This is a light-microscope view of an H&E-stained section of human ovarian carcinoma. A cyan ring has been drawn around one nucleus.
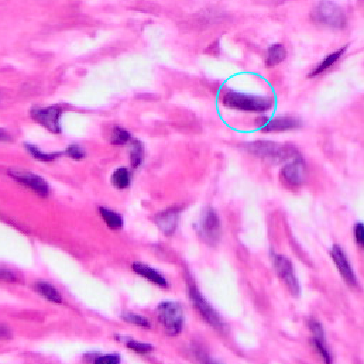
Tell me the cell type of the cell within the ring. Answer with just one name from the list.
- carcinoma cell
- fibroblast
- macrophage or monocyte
fibroblast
